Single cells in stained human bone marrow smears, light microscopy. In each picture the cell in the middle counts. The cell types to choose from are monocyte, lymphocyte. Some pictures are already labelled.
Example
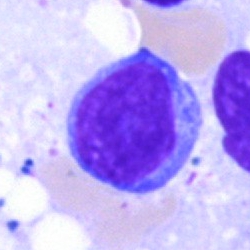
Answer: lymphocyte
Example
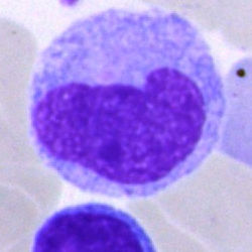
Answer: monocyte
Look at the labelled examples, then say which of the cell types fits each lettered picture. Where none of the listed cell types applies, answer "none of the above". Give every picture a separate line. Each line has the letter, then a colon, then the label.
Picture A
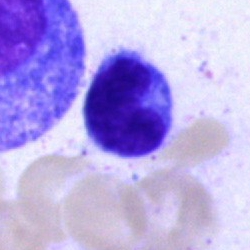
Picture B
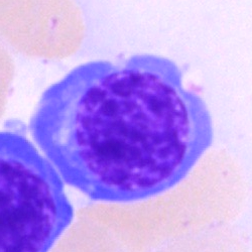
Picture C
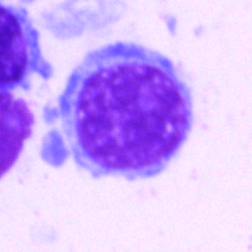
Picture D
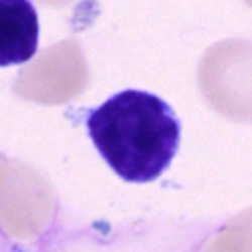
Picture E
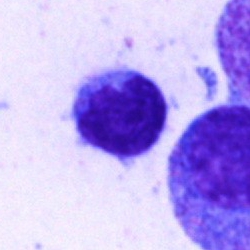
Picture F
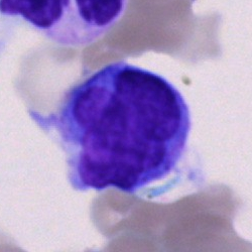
A: lymphocyte
B: none of the above
C: lymphocyte
D: lymphocyte
E: lymphocyte
F: monocyte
